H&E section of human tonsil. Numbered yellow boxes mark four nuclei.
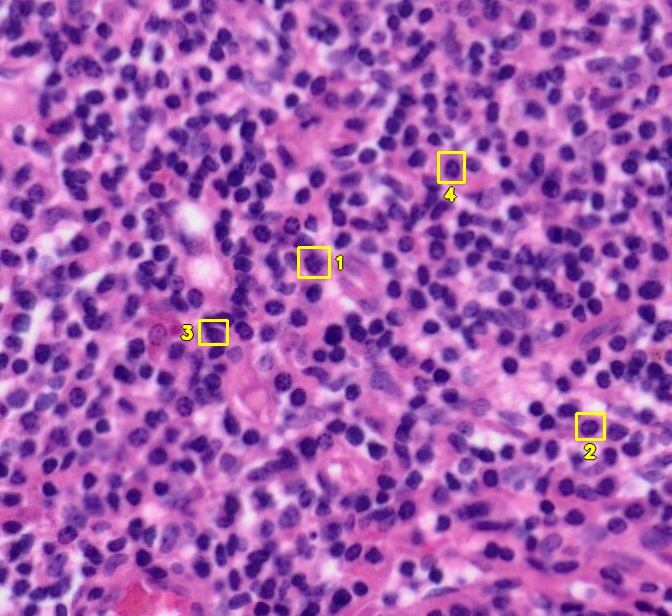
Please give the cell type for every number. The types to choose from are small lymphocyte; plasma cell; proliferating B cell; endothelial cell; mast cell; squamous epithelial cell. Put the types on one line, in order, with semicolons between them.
plasma cell; plasma cell; small lymphocyte; plasma cell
